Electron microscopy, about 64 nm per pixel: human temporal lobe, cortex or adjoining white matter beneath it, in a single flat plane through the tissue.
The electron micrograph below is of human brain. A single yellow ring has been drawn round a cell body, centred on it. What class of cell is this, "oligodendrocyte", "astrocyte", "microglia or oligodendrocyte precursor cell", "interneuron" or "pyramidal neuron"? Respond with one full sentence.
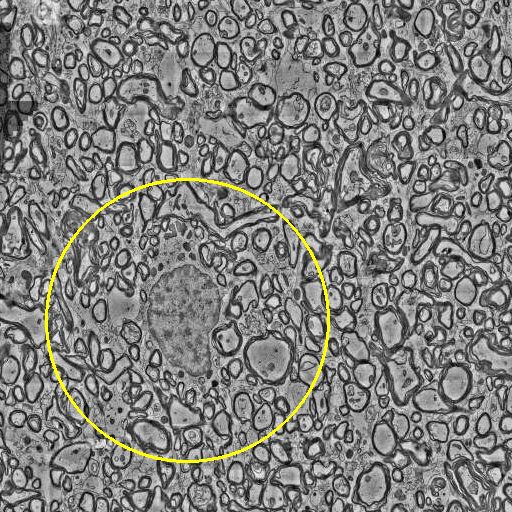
In the micrograph, the cell centred inside the yellow ring is an oligodendrocyte.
